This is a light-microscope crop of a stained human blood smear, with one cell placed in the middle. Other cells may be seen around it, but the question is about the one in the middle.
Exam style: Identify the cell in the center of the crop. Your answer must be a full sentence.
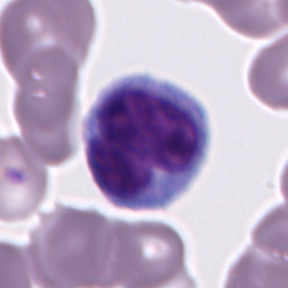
The cell featured at the centre of this crop is a monocyte.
